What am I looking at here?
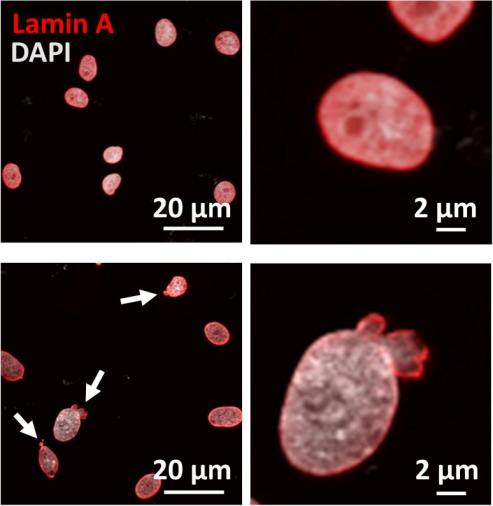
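In the upper row the nuclei are smooth, oval and evenly outlined, and the enlarged one shows a rounded shape with a darker nucleolus-like area. In the lower row several nuclei are misshapen: small buds and blebs protrude from their edge, giving an irregular outline. The enlarged nucleus below carries lobed protrusions bulging from one pole, each edged by the red rim, while its chromatin appears granular.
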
